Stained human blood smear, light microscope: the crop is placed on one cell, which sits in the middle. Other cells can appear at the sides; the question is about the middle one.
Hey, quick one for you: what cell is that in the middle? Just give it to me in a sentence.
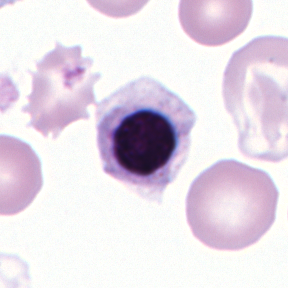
For this crop, the central cell is a normoblast.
